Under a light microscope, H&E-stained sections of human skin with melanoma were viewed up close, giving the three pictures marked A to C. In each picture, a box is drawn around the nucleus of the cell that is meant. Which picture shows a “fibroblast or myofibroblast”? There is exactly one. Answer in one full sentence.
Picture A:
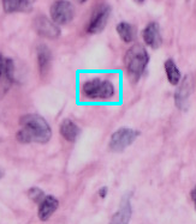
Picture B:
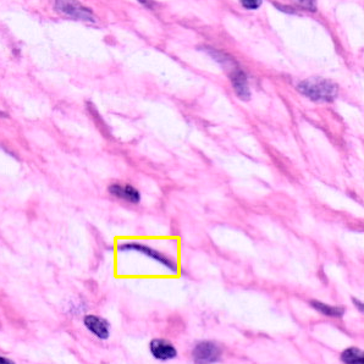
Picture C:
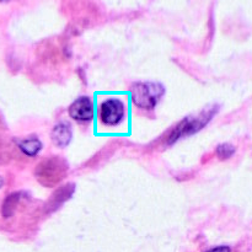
The “fibroblast or myofibroblast” is the one in picture B.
